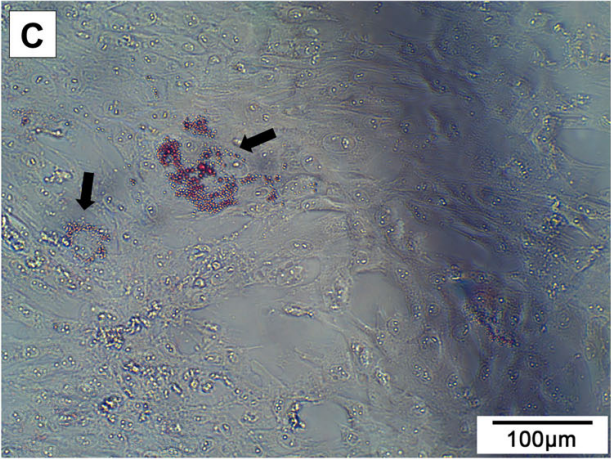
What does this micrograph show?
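This is a dense sheet of cultured stromal cells, flattened and elongated like fibroblasts, lying side by side so that their outlines run in loose parallel streams across the field. Most of the sheet is unstained and pale grey, with many small refractile granules scattered over the cells. In a few places clusters of small round droplets stand out, stained red to purple; these are the stained fat vacuoles, grouped together inside a cell rather than spread evenly. Towards one side the layer is thicker and darker, where cells pile up and the focus is softer.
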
